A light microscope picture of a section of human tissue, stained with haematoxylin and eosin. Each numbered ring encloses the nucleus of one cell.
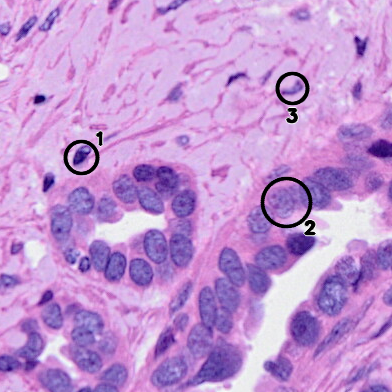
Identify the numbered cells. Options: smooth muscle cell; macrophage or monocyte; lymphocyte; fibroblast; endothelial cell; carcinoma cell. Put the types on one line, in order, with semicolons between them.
lymphocyte; carcinoma cell; fibroblast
